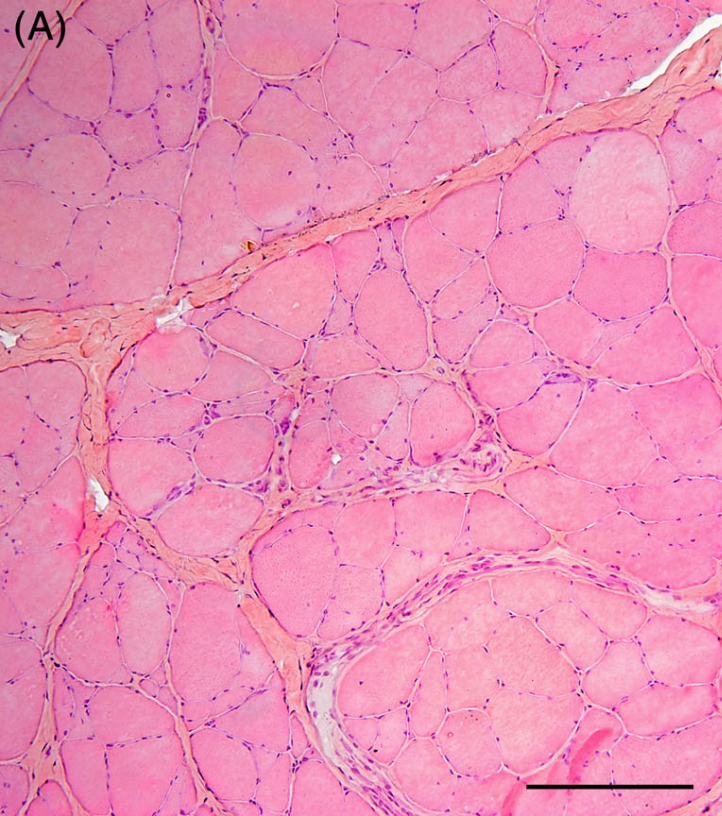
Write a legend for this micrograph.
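This is skeletal muscle cut across, with pink polygonal muscle fibres packed into fascicles separated by pale pink connective tissue septa. The fibres vary a great deal in size, with small fibres lying scattered among large ones throughout the field. Dark purple nuclei sit mostly at the edges of the fibres, and the cytoplasm is evenly pink. Small blood vessels run in the connective tissue between fascicles.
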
